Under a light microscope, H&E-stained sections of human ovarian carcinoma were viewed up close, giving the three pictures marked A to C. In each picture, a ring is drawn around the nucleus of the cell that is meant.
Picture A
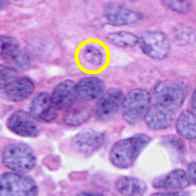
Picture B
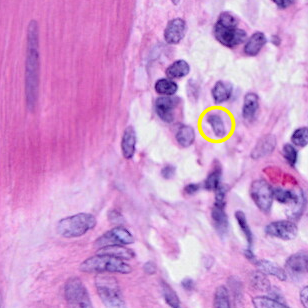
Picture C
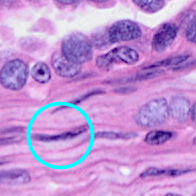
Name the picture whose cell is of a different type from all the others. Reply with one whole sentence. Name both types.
All pictures except C show “macrophages or monocytes”; picture C shows a fibroblast.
